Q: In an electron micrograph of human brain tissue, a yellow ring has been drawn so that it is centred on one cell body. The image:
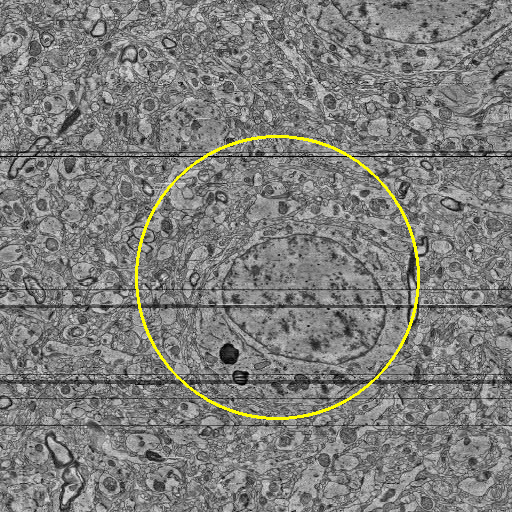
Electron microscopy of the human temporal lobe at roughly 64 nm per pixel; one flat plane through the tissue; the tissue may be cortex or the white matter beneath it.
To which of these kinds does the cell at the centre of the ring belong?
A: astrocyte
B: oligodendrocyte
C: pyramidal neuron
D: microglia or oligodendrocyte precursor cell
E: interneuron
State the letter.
C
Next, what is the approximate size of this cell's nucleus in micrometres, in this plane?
Roughly 11 by 8 micrometres is the size of the nucleus in this plane.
